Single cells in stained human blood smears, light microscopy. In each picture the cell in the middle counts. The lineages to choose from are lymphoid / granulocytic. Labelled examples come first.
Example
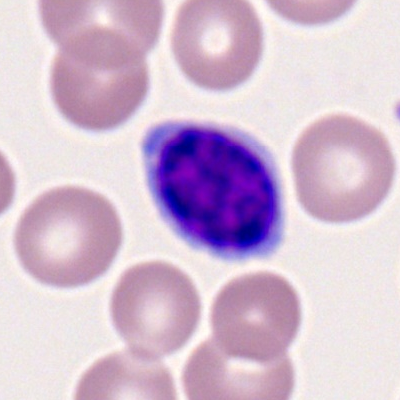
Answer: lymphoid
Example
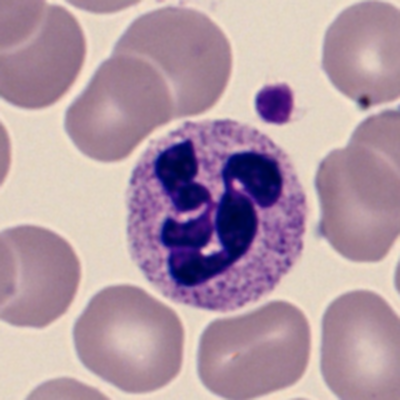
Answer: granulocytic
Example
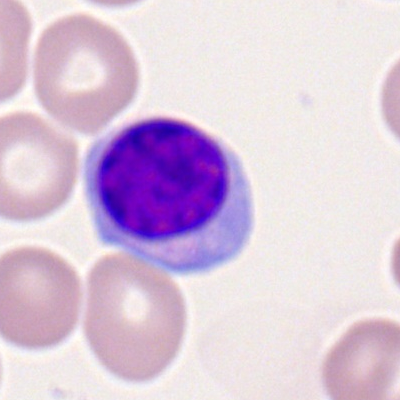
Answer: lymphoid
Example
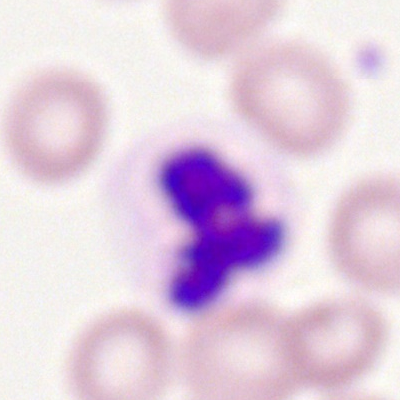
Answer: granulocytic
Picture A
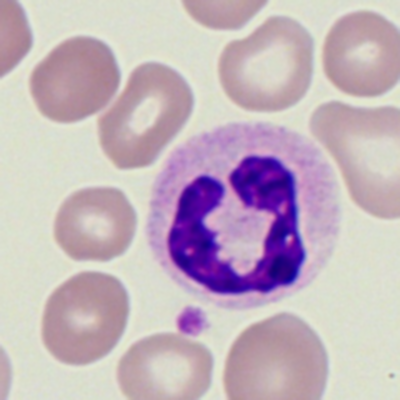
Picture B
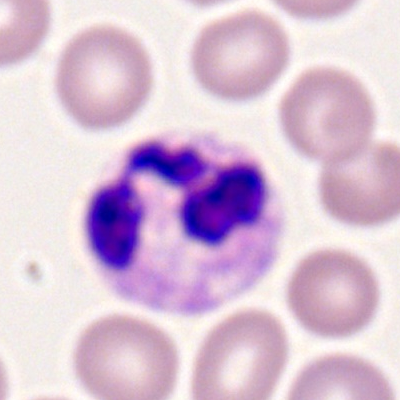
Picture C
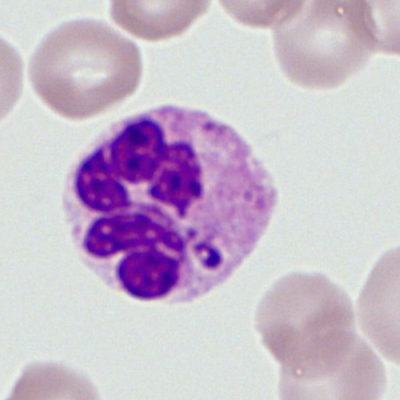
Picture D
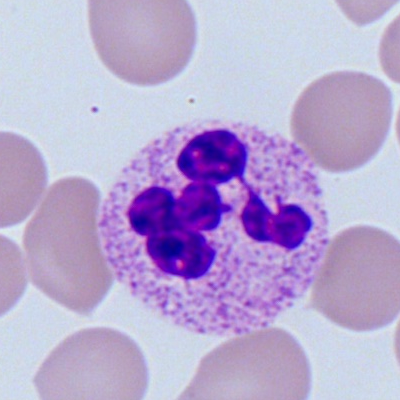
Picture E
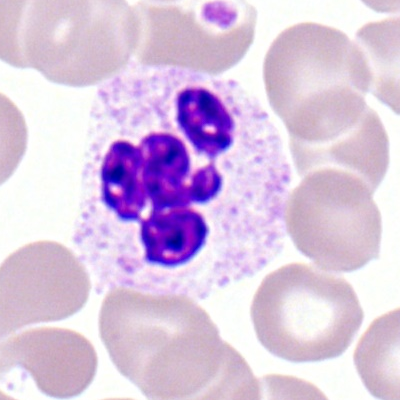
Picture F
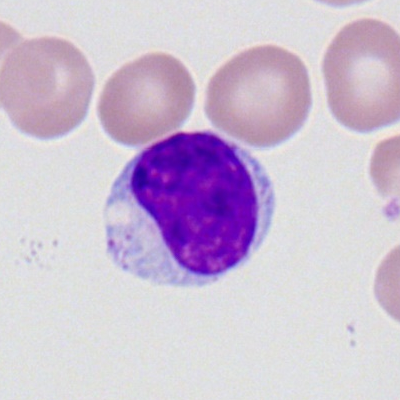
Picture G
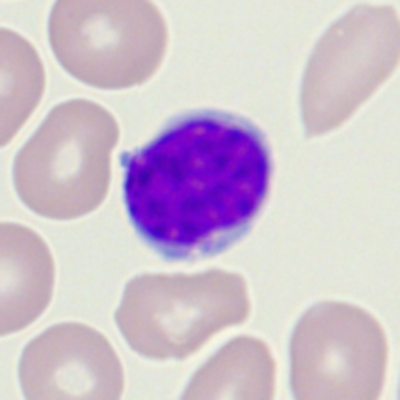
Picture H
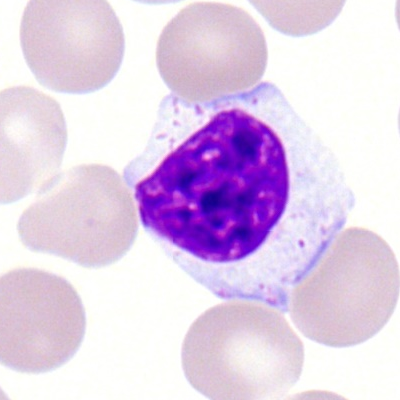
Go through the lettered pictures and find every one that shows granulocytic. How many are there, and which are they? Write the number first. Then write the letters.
Count: 5 (A, B, C, D, E)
